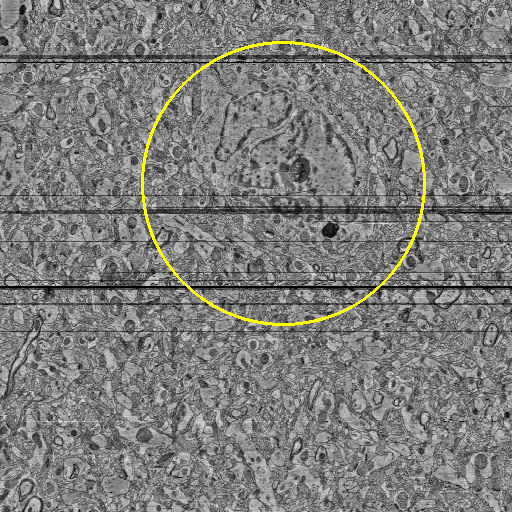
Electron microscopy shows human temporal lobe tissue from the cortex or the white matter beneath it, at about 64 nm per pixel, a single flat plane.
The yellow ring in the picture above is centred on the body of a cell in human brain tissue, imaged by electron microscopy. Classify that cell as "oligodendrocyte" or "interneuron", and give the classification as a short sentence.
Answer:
The cell in the middle of the ring is an interneuron.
